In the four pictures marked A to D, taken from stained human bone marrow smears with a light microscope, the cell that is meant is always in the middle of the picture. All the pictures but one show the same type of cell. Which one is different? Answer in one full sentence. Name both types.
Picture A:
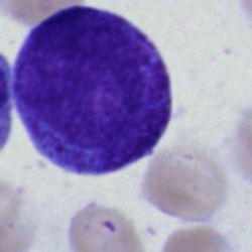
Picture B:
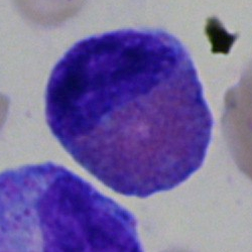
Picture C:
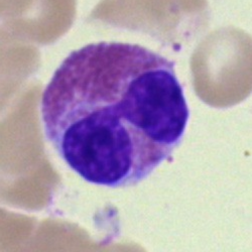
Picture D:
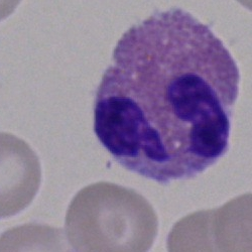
All pictures except A show eosinophils; picture A shows a promyelocyte.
